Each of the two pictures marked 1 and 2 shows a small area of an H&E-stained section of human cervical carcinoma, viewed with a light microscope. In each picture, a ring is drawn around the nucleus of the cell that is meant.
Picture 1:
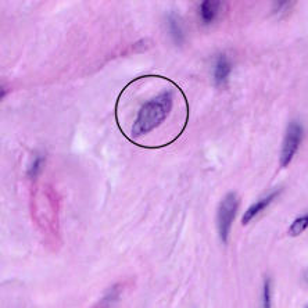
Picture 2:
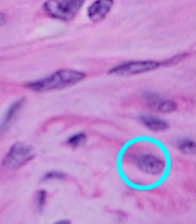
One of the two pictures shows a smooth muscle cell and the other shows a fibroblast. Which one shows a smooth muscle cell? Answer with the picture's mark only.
2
